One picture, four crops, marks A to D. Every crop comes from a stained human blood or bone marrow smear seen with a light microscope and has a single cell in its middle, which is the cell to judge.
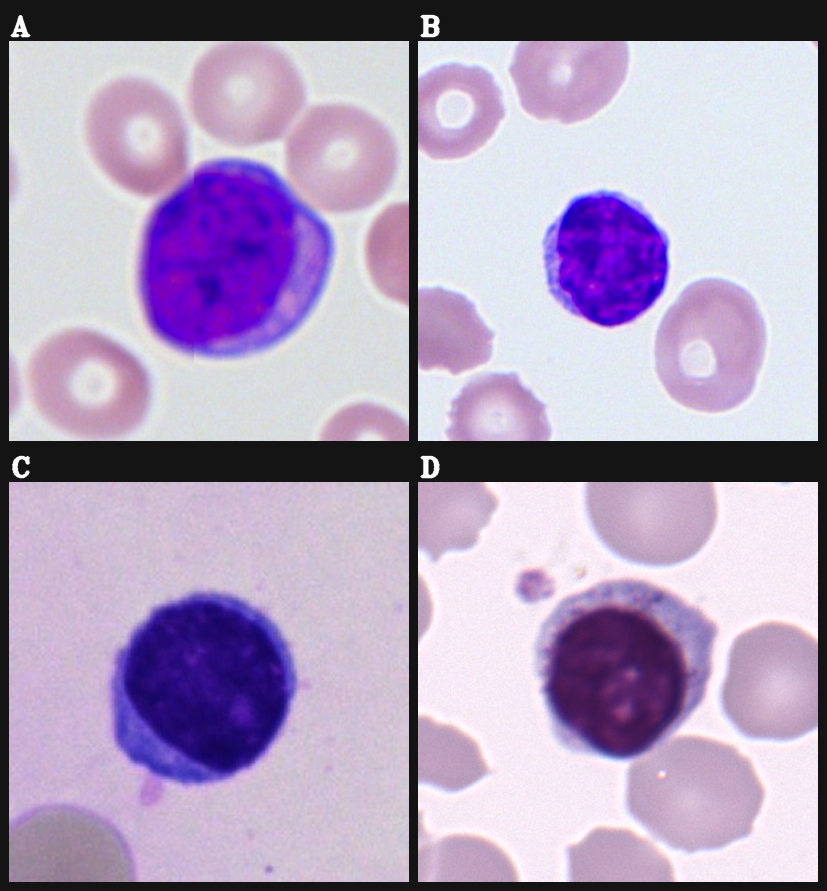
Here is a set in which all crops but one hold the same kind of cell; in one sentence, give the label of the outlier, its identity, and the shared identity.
Where the others show lymphocytes, crop A shows a blast.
